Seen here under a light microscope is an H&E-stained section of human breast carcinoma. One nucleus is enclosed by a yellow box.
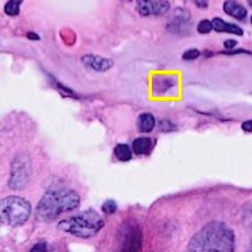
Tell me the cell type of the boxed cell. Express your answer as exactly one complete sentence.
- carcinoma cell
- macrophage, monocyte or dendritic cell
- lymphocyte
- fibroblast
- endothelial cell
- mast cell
Labelled by cell type, the boxed cell is a mast cell.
